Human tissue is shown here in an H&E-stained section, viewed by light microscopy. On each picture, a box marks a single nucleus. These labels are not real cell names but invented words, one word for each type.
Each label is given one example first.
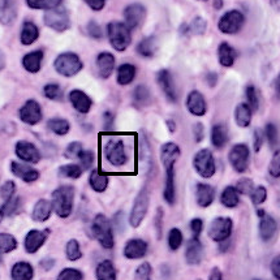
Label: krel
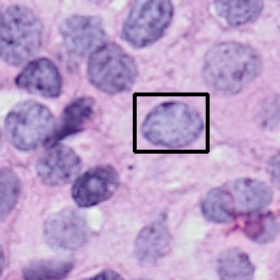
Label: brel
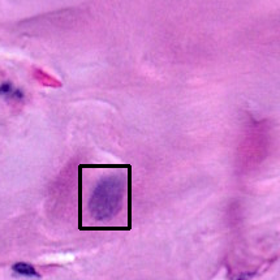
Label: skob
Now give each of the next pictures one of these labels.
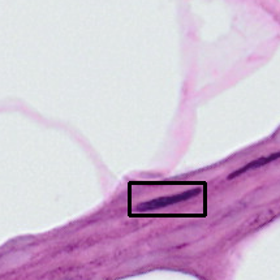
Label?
skob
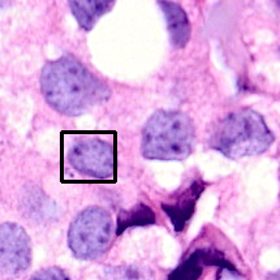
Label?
brel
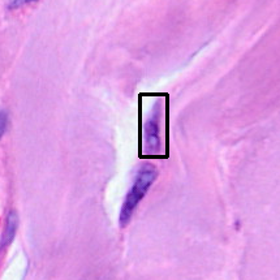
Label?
skob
